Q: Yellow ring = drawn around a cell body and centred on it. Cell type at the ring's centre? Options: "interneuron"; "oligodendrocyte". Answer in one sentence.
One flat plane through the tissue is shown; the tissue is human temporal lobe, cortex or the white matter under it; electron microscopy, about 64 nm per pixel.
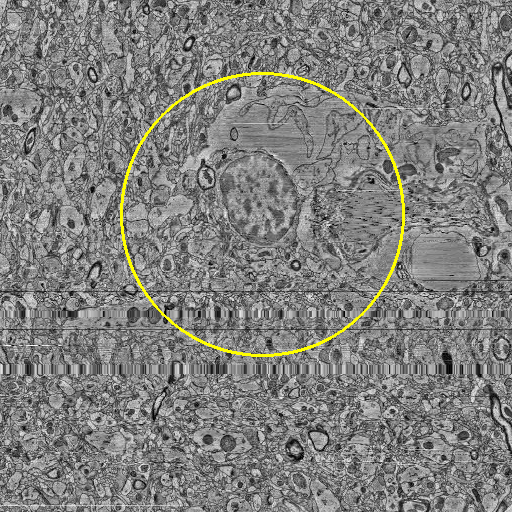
Centred in the ring is an oligodendrocyte.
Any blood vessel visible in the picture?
Yes, one is visible.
